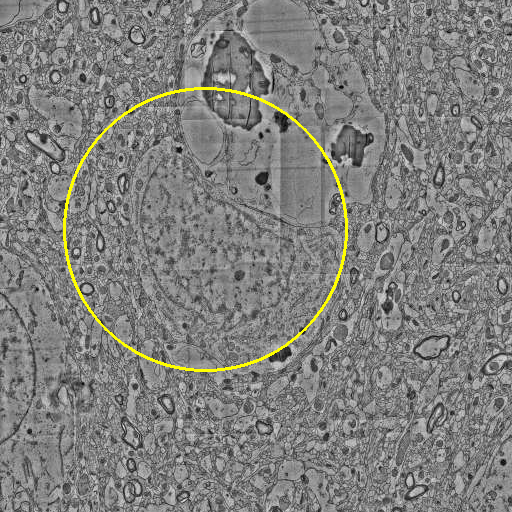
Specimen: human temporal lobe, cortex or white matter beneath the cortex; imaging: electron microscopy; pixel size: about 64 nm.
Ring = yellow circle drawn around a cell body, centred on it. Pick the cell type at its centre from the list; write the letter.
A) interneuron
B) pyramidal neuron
A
